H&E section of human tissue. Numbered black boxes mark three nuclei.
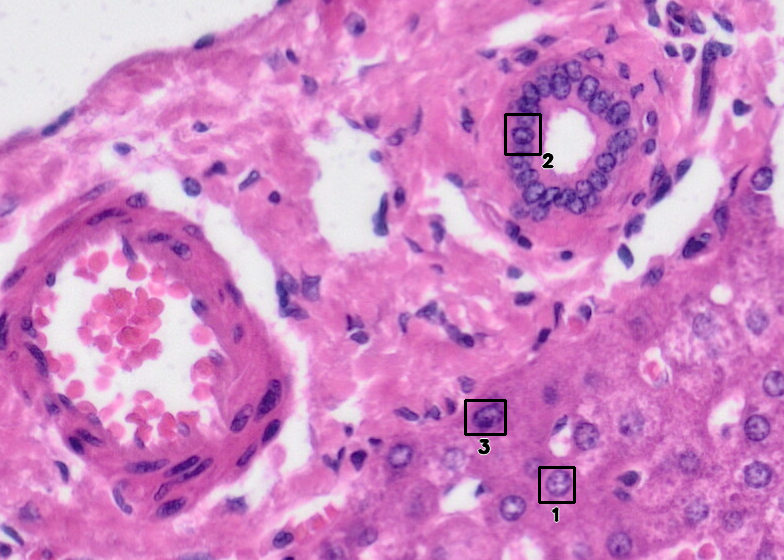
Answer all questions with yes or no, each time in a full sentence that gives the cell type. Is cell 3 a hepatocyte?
Yes, for number 3, the cell is a hepatocyte.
